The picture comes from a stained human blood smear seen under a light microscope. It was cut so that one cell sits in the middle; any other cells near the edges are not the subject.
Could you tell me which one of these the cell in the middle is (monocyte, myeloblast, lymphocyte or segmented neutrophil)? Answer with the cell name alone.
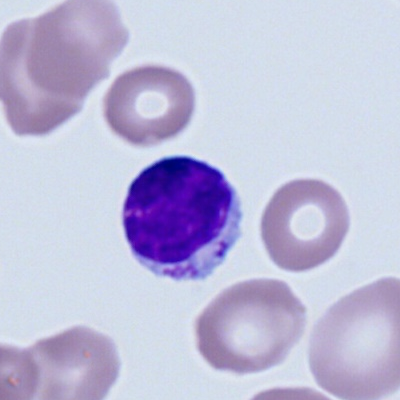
lymphocyte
